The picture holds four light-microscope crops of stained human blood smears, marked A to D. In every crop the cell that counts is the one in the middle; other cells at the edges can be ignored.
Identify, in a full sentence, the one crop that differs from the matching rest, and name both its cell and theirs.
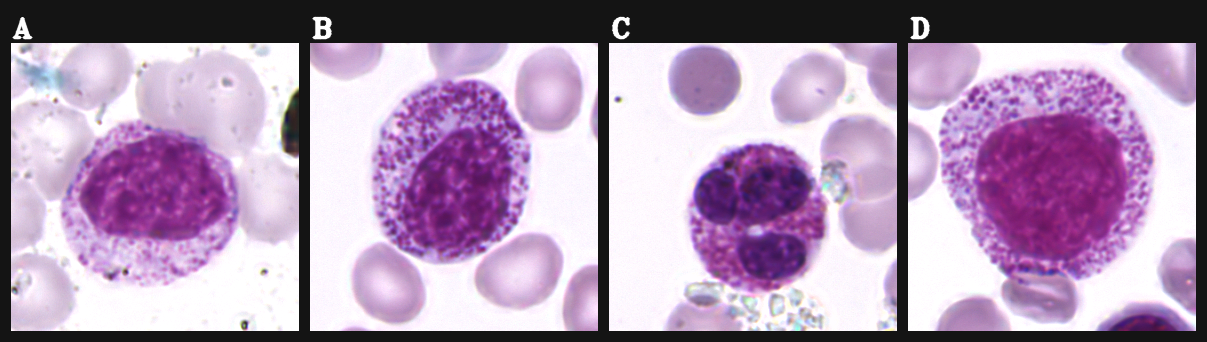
Found in all crops but one are myelocytes; the exception, crop C, contains an eosinophil.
